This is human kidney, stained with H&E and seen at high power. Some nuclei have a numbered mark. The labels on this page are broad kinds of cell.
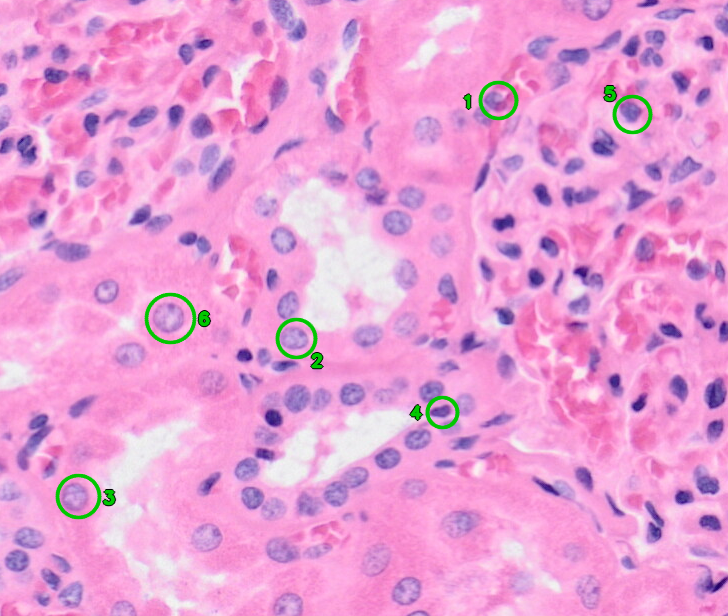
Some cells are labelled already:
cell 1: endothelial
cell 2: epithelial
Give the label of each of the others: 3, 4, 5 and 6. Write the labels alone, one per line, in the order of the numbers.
epithelial
epithelial
endothelial
epithelial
